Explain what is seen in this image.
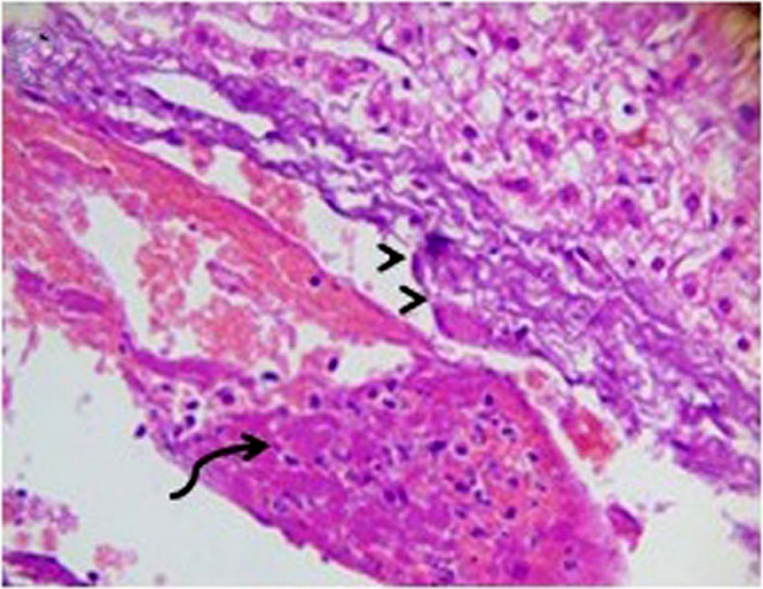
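This field shows a hepatic blood vessel next to liver parenchyma. Inside the lumen, bottom left, lies a thrombus: a dense pink mass containing scattered nuclei, with loose red blood cells around it. The vessel wall runs diagonally across the field as wavy purple fibrous layers, and its inner lining is frayed and irregular where it faces the lumen. Above the wall, the liver cells at the top have pale, cleared cytoplasm.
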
